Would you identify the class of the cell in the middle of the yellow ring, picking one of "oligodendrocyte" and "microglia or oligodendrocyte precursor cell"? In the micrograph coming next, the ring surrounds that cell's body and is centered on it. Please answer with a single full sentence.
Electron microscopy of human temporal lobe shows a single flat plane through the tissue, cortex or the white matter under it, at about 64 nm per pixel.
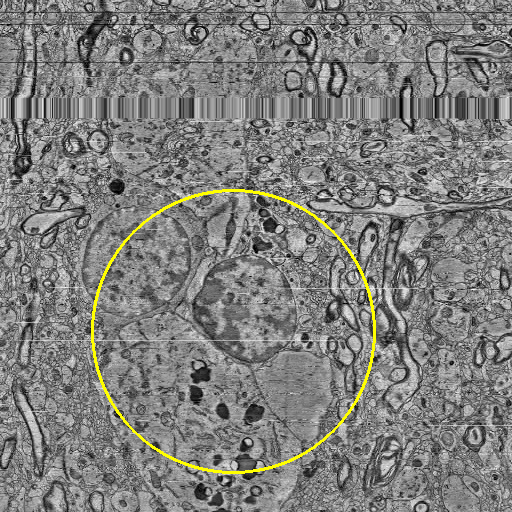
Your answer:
In the micrograph, it is a microglial cell or oligodendrocyte precursor cell whose body lies at the ring's center.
